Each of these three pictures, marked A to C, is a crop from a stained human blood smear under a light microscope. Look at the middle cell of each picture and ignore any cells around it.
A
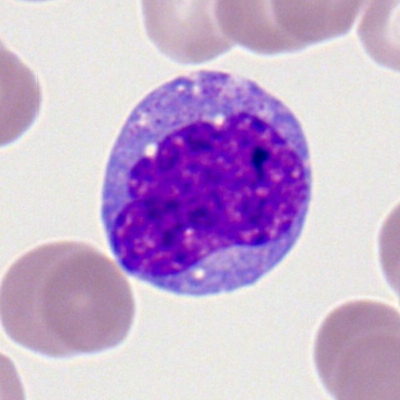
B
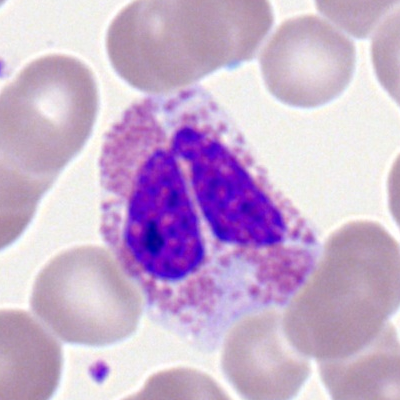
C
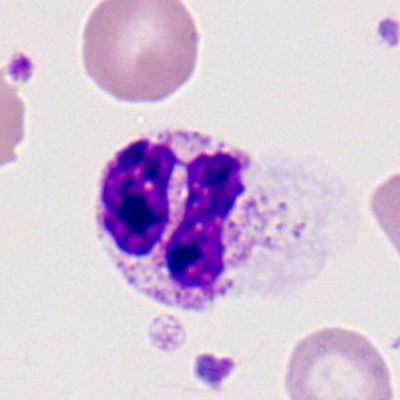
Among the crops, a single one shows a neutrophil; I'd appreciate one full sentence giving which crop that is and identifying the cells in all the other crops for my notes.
Crop C shows a neutrophil, while crop A is a monocyte and crop B is an eosinophil.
